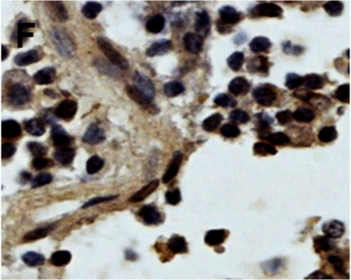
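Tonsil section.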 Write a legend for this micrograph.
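This is damaged tonsillar squamous epithelium at a broken free edge, where many small round cells lie loosely scattered. Many of these cells are stained brown over their round nuclei and cytoplasm. Between them run strands of pale tissue with elongated, spindle-shaped nuclei.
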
